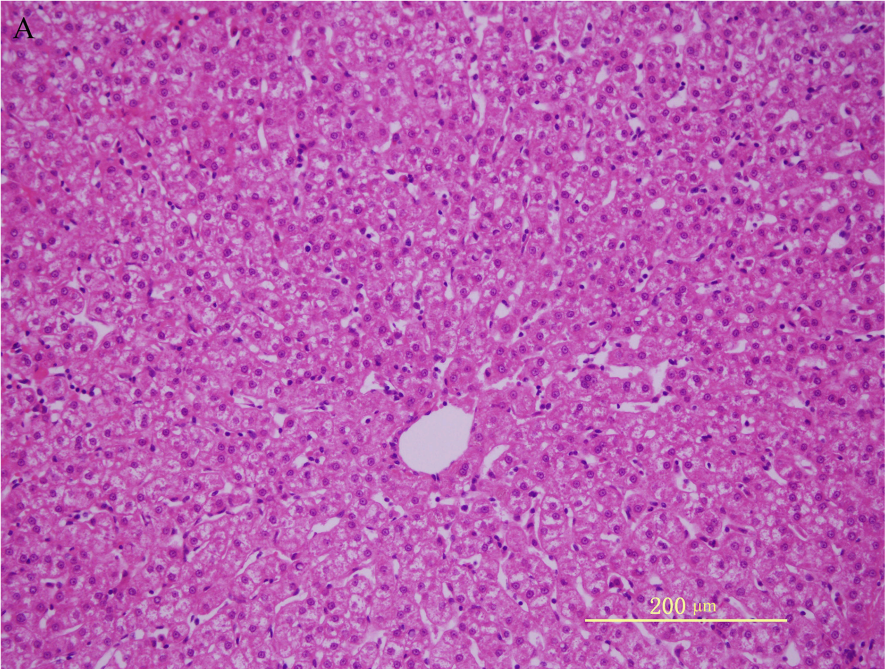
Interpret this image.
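This is liver tissue in which polygonal hepatocytes with pink, finely granular cytoplasm and round central nuclei are arranged in cords. The cords run toward an open vessel in the middle of the field, separated by narrow clear sinusoidal spaces lined by small dark flattened nuclei. No large clear vacuoles are seen in the cells.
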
